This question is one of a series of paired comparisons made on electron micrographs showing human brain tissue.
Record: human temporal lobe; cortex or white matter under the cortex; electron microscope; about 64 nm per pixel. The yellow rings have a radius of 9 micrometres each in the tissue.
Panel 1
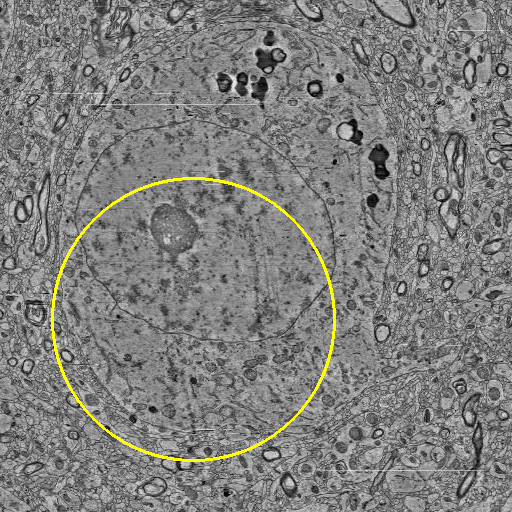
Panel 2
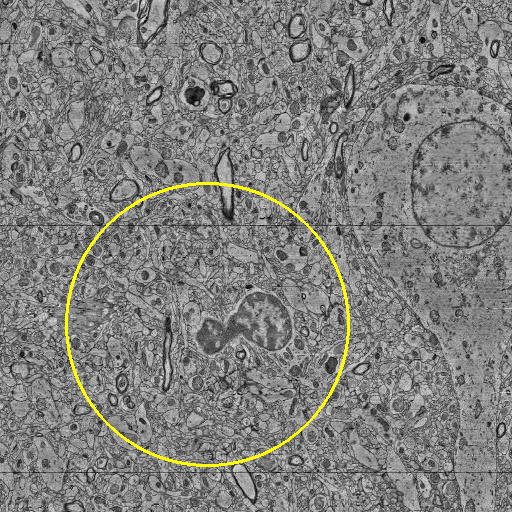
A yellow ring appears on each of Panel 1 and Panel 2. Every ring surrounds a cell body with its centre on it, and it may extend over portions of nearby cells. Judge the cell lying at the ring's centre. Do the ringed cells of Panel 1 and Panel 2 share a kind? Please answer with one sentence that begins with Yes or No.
No, the ring-centre cell in Panel 1 and the one in Panel 2 are of two kinds.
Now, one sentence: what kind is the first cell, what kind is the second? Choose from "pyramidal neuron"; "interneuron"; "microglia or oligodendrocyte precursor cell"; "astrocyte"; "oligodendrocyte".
The first picture has a pyramidal neuron at its ring centre, and the second has a microglial cell or oligodendrocyte precursor cell.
